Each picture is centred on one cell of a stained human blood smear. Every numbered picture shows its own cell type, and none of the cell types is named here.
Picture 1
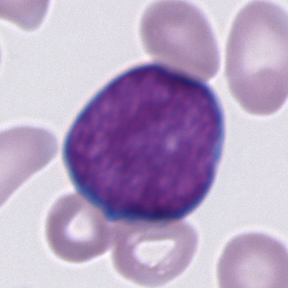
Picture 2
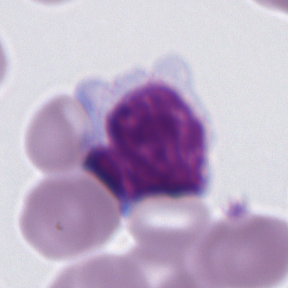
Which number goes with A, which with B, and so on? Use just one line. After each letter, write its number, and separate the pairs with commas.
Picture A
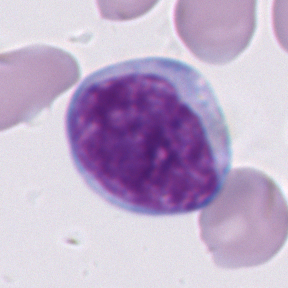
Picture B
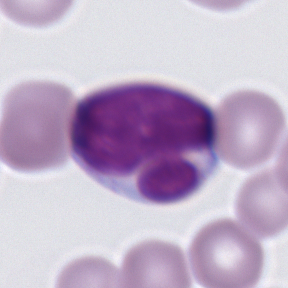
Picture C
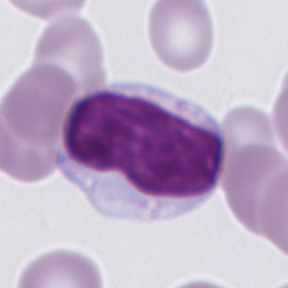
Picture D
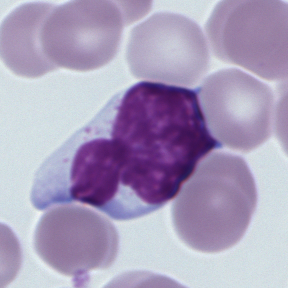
A 1, B 2, C 2, D 2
